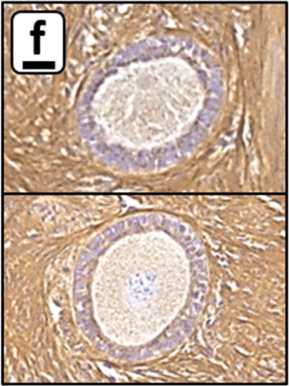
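Ovarian follicles in cortex, each with a large central oocyte encircled by granulosa cells and embedded in stroma. The oocyte is round with finely granular cytoplasm that is stained light brown, and a paler nuclear area is visible in the centre. Outside the follicle the stroma consists of wavy spindle-shaped cells in densely brown-stained fibrous tissue, arranged concentrically around the follicle.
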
